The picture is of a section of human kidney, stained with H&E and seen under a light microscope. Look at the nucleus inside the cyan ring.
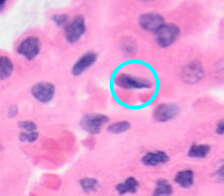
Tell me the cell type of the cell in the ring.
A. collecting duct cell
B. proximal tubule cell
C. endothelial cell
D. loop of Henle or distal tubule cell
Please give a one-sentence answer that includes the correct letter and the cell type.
Best answer: option C, with the cell in the ring being an endothelial cell.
